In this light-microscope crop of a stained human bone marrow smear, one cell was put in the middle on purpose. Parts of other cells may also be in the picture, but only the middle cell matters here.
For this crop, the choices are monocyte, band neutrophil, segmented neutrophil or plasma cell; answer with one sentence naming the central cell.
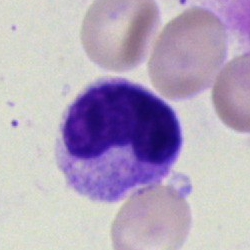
The cell found in the middle of this crop is a band neutrophil.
